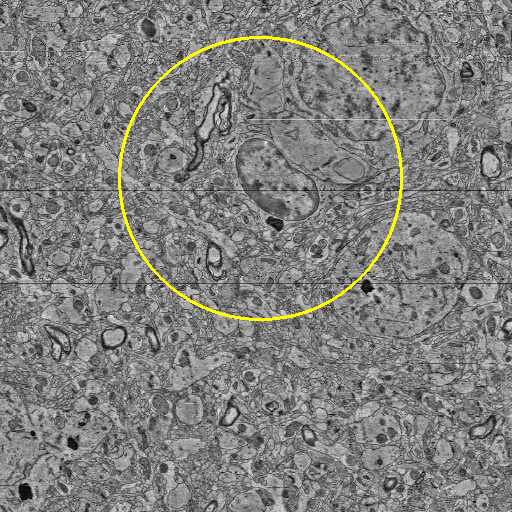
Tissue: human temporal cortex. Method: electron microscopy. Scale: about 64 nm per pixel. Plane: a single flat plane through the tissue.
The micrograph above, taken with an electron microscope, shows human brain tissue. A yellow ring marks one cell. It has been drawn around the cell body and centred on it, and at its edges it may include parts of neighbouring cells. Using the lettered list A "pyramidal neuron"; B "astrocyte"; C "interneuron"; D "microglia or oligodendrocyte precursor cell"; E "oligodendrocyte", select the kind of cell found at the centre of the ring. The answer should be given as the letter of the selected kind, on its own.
D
